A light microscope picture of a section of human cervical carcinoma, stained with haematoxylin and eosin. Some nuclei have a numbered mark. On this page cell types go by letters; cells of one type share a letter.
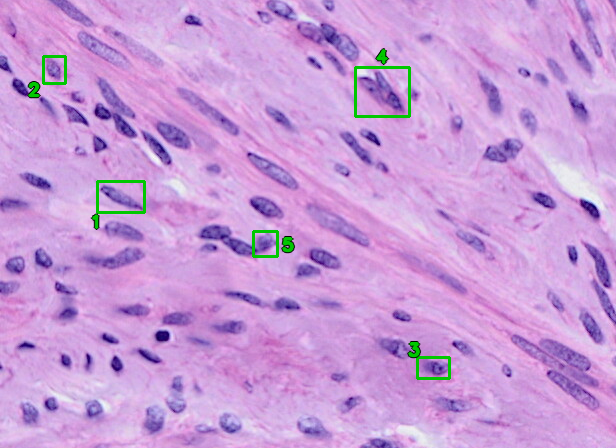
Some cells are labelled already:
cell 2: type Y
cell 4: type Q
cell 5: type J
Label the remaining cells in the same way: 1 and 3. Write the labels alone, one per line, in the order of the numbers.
type J
type Y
